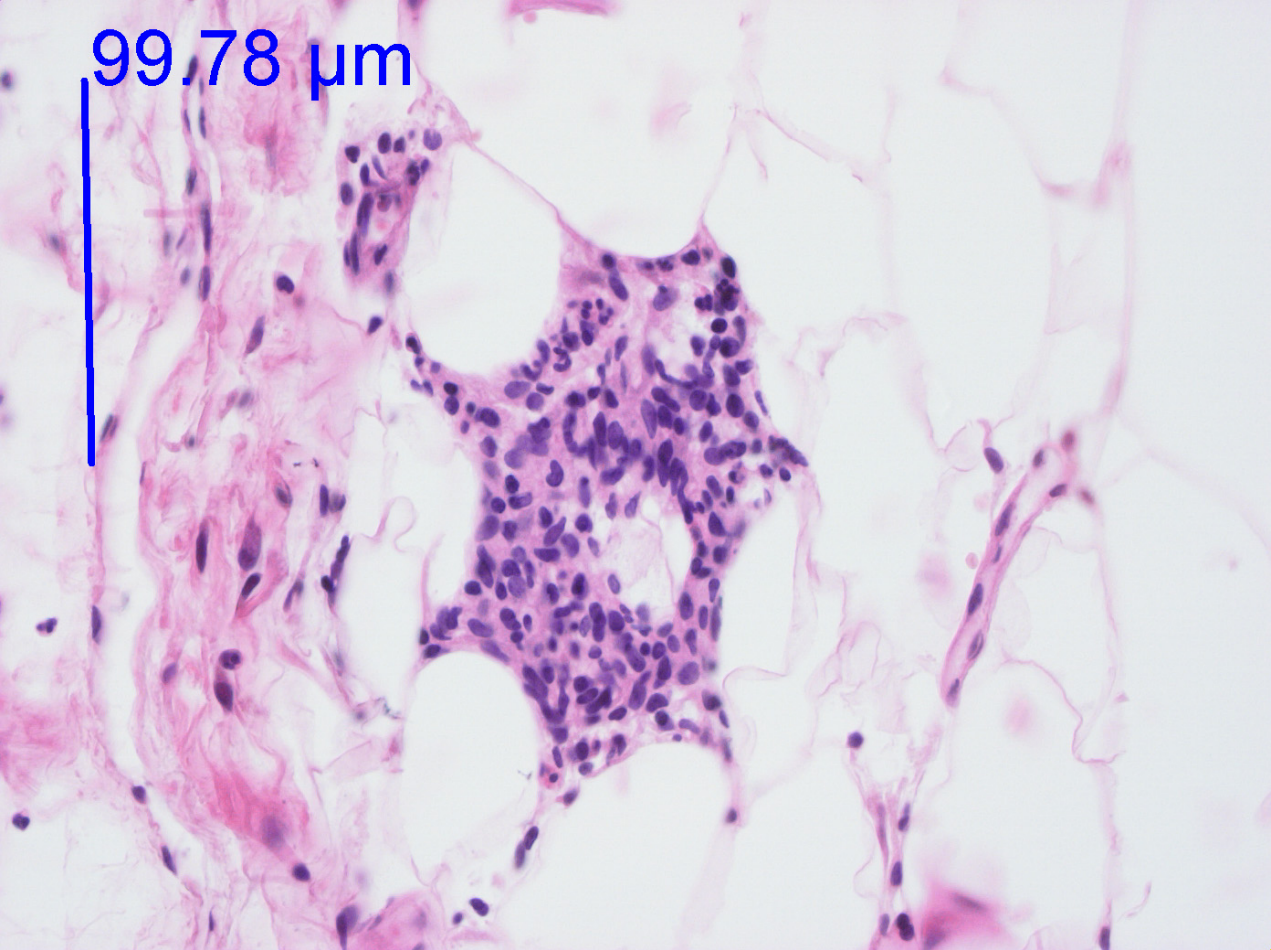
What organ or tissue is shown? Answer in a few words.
Fat tissue.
